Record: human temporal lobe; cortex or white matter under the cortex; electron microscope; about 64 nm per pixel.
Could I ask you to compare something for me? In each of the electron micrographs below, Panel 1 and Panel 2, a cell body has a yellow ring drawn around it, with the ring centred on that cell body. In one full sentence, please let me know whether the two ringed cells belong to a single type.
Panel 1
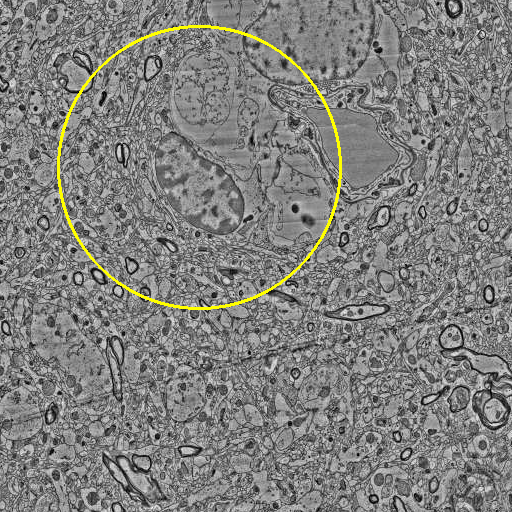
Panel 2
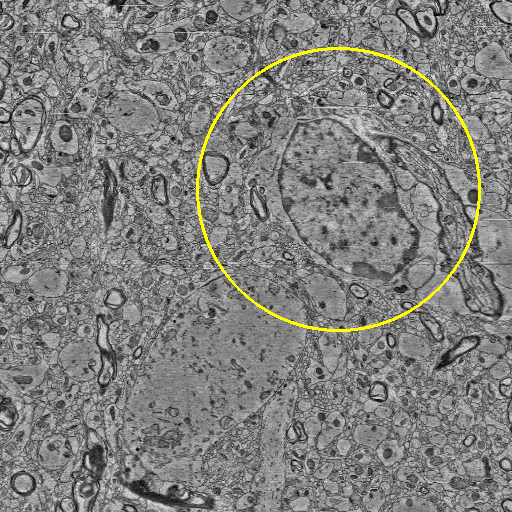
Yes, the two cells at the centres of the rings are of one type.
